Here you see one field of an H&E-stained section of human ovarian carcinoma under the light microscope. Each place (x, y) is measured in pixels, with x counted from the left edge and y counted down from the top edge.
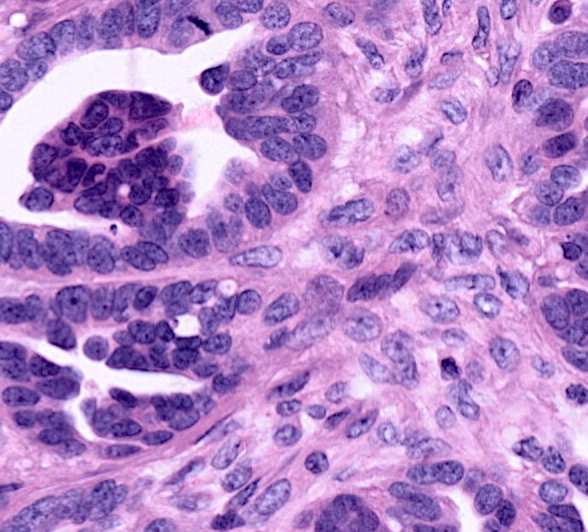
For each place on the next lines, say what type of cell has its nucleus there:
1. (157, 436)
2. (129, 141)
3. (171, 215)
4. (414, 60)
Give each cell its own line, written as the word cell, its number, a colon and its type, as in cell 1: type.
cell 1: carcinoma cell
cell 2: carcinoma cell
cell 3: carcinoma cell
cell 4: fibroblast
